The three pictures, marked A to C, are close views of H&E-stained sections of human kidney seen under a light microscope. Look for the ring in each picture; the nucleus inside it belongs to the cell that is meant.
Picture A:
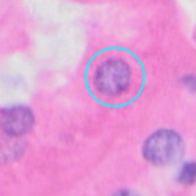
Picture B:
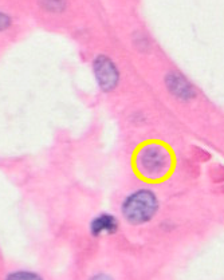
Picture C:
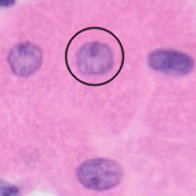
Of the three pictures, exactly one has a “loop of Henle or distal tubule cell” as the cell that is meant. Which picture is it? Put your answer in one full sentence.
It is picture B that shows the “loop of Henle or distal tubule cell”.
